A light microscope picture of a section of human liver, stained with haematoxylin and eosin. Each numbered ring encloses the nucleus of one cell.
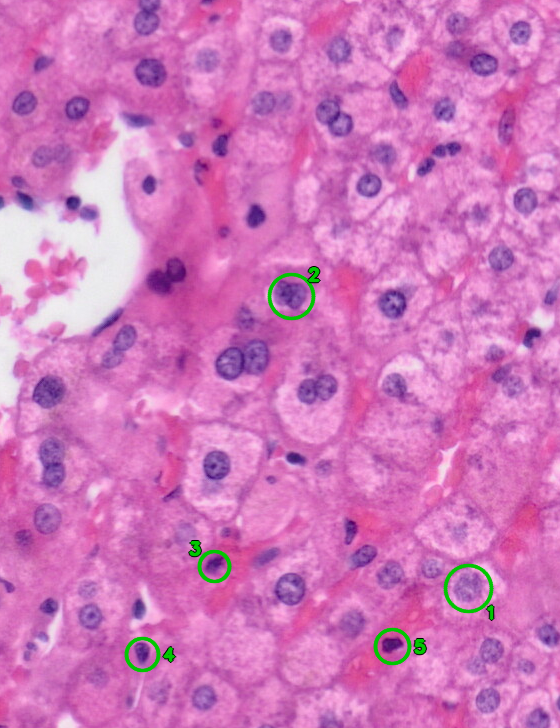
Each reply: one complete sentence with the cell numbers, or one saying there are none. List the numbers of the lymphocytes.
On this slide, the cells numbered 4 and 5 are lymphocytes.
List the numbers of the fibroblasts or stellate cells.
Only cell 3 qualifies as a fibroblast or stellate cell among the numbered cells.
